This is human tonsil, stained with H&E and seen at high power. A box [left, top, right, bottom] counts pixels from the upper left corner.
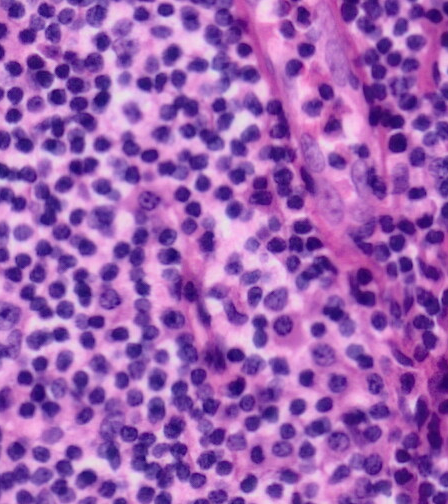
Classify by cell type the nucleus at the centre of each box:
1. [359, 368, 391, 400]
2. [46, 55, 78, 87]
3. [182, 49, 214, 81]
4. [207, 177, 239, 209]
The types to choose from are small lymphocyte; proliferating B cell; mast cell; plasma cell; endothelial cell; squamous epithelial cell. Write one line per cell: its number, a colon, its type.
1: plasma cell
2: small lymphocyte
3: small lymphocyte
4: small lymphocyte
